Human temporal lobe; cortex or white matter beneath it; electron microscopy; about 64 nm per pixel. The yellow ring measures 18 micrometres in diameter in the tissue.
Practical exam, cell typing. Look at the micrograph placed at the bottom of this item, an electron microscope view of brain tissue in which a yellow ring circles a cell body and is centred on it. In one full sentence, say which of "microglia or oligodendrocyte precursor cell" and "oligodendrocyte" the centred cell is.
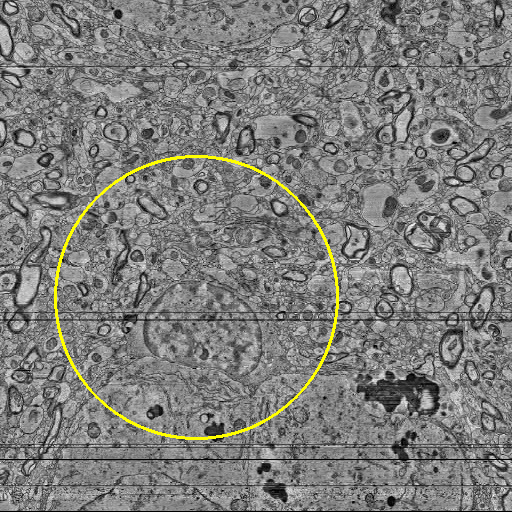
Given the options, an oligodendrocyte fits the cell whose body the yellow ring is centred on.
